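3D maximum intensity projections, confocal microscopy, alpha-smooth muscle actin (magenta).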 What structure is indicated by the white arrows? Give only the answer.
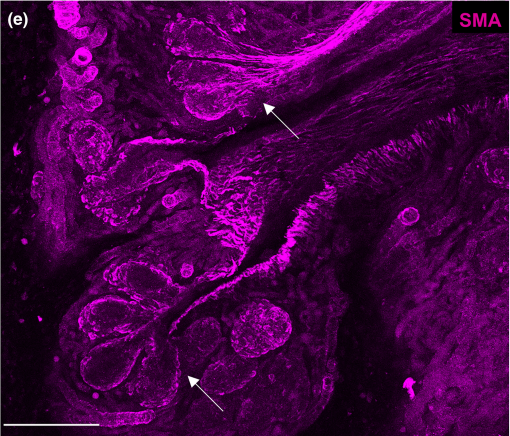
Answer: Terminal duct lobular units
